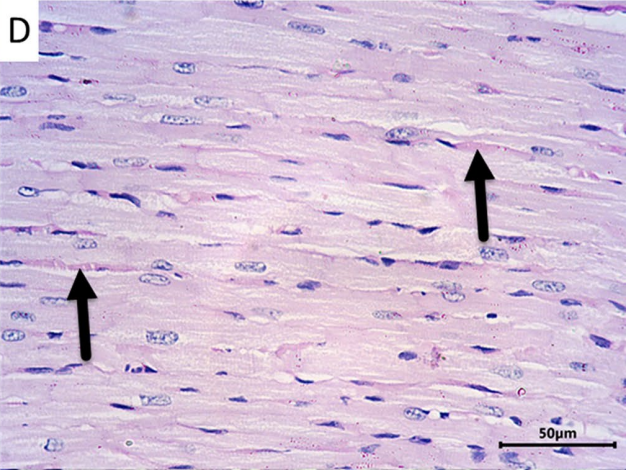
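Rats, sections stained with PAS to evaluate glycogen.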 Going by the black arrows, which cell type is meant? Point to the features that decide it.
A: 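Parallel elongated fibers with pale pink cytoplasm. Centrally placed oval nuclei within the fibers. Narrow clefts with flattened dark nuclei separate the fibers.
Answer: cardiac muscle fibers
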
